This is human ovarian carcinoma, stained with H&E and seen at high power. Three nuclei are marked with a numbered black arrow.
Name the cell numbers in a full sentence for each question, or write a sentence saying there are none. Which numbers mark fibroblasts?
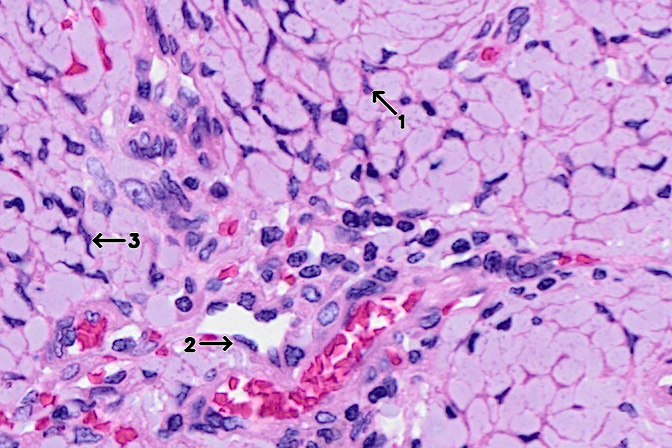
The cells identified by the numbers 1 and 3 are fibroblasts.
